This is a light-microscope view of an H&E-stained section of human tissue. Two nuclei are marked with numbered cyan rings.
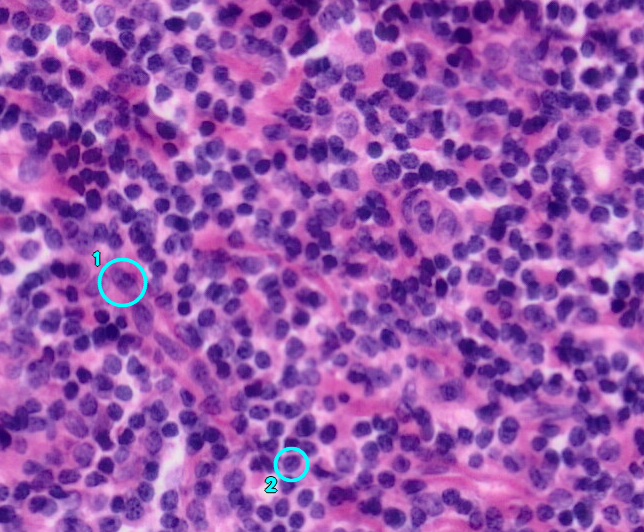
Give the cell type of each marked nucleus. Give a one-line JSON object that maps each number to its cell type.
{"1": "endothelial cell", "2": "small lymphocyte"}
